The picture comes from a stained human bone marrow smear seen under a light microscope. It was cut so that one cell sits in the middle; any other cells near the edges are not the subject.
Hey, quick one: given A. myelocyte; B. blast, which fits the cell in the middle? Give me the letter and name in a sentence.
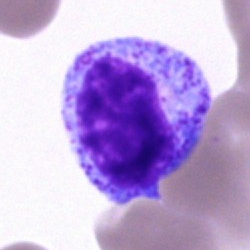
Seen at the centre of the crop is a myelocyte, so option A is correct.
